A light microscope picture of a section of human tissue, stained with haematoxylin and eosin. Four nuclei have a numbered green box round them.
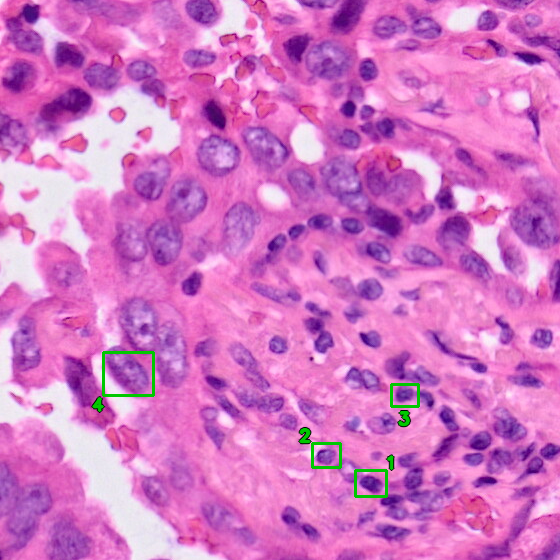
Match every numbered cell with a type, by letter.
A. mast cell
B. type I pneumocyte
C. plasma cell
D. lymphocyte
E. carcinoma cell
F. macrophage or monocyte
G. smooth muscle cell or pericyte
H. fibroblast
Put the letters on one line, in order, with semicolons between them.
D; D; D; E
